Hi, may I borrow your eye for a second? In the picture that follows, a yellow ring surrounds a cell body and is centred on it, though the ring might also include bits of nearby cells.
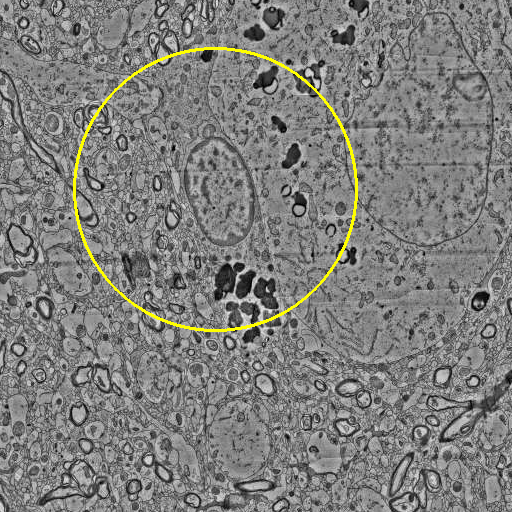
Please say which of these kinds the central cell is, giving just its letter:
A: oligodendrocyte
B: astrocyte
A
